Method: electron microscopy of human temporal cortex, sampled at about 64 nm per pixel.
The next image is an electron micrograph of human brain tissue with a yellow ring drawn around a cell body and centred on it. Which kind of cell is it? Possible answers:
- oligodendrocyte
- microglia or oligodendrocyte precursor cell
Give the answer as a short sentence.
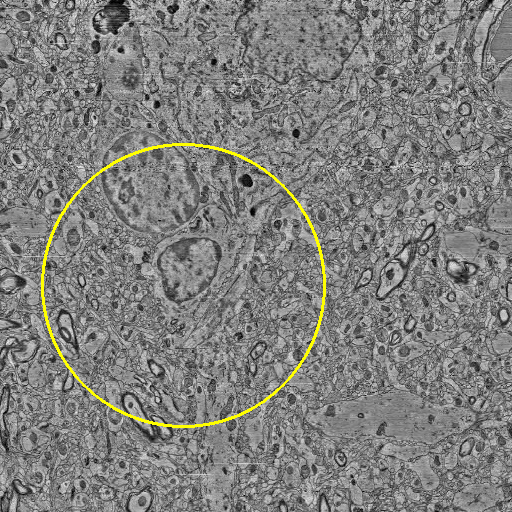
In the ring's centre is a microglial cell or oligodendrocyte precursor cell.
